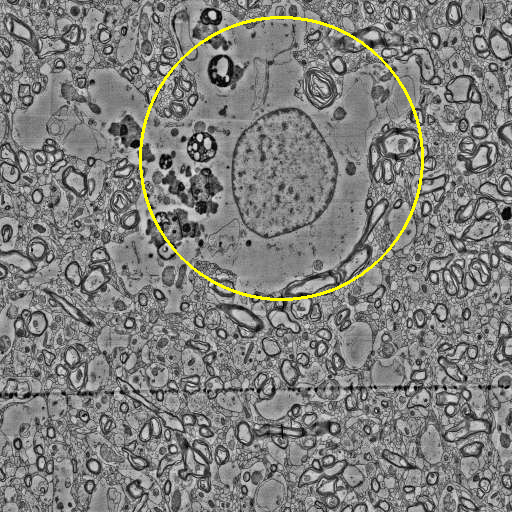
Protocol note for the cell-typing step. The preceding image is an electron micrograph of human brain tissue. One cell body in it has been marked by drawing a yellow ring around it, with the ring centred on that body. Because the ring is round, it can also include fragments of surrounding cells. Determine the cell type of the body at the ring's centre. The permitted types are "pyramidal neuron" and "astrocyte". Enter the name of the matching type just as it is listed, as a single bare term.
astrocyte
